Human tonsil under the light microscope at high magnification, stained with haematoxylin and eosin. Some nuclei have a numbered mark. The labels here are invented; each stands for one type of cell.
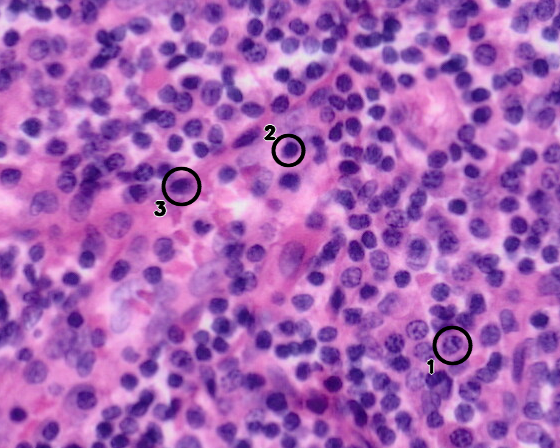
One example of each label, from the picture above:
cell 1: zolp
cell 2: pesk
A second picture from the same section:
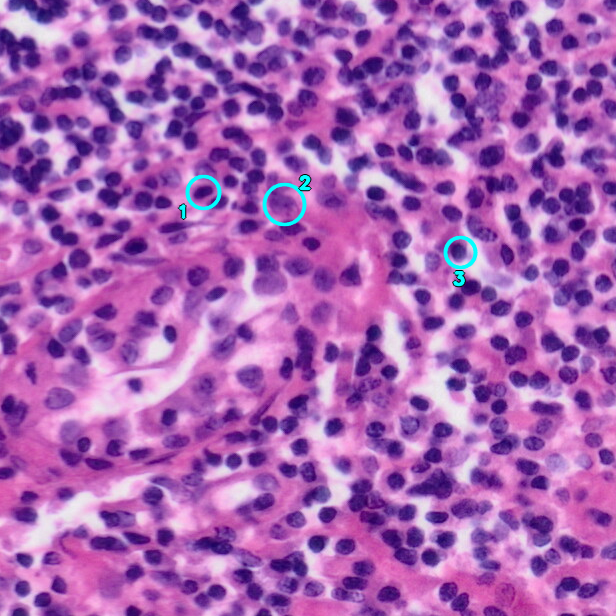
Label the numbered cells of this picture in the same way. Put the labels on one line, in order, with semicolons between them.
pesk; pesk; zolp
